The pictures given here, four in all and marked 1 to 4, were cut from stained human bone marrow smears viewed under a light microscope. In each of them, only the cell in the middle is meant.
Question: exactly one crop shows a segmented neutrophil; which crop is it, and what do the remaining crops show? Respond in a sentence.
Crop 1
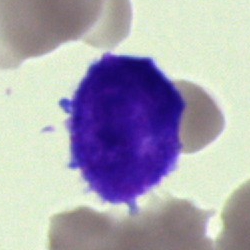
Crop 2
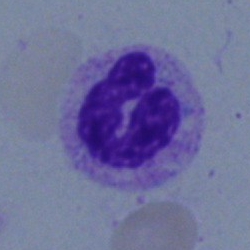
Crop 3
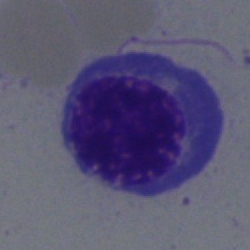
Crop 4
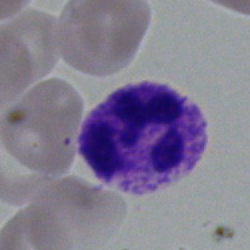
The labels are: crop 4 is a segmented neutrophil, and crop 1 is a blast, crop 2 is a band neutrophil and crop 3 is a normoblast.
